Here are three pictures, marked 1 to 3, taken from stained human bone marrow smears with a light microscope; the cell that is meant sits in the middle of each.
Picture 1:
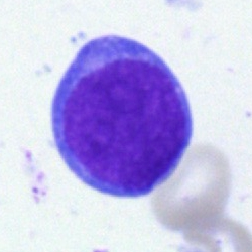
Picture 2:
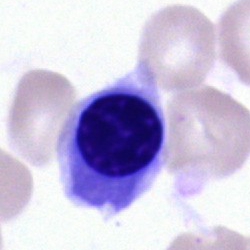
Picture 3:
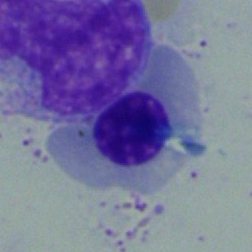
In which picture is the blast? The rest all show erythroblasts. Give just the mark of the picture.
1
